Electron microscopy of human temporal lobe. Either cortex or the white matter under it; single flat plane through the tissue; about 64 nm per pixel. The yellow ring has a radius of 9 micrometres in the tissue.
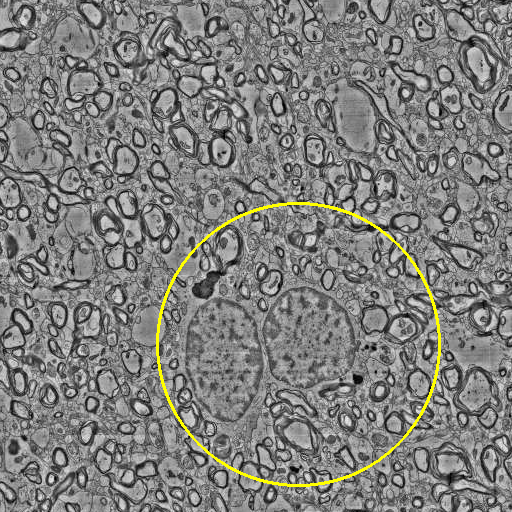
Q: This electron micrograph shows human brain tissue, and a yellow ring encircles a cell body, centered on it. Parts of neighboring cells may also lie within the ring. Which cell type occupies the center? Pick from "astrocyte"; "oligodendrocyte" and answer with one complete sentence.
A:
What sits at the ring's center in this micrograph is an oligodendrocyte, among those choices.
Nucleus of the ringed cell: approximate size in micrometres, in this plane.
In this plane, roughly 6 micrometres across.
